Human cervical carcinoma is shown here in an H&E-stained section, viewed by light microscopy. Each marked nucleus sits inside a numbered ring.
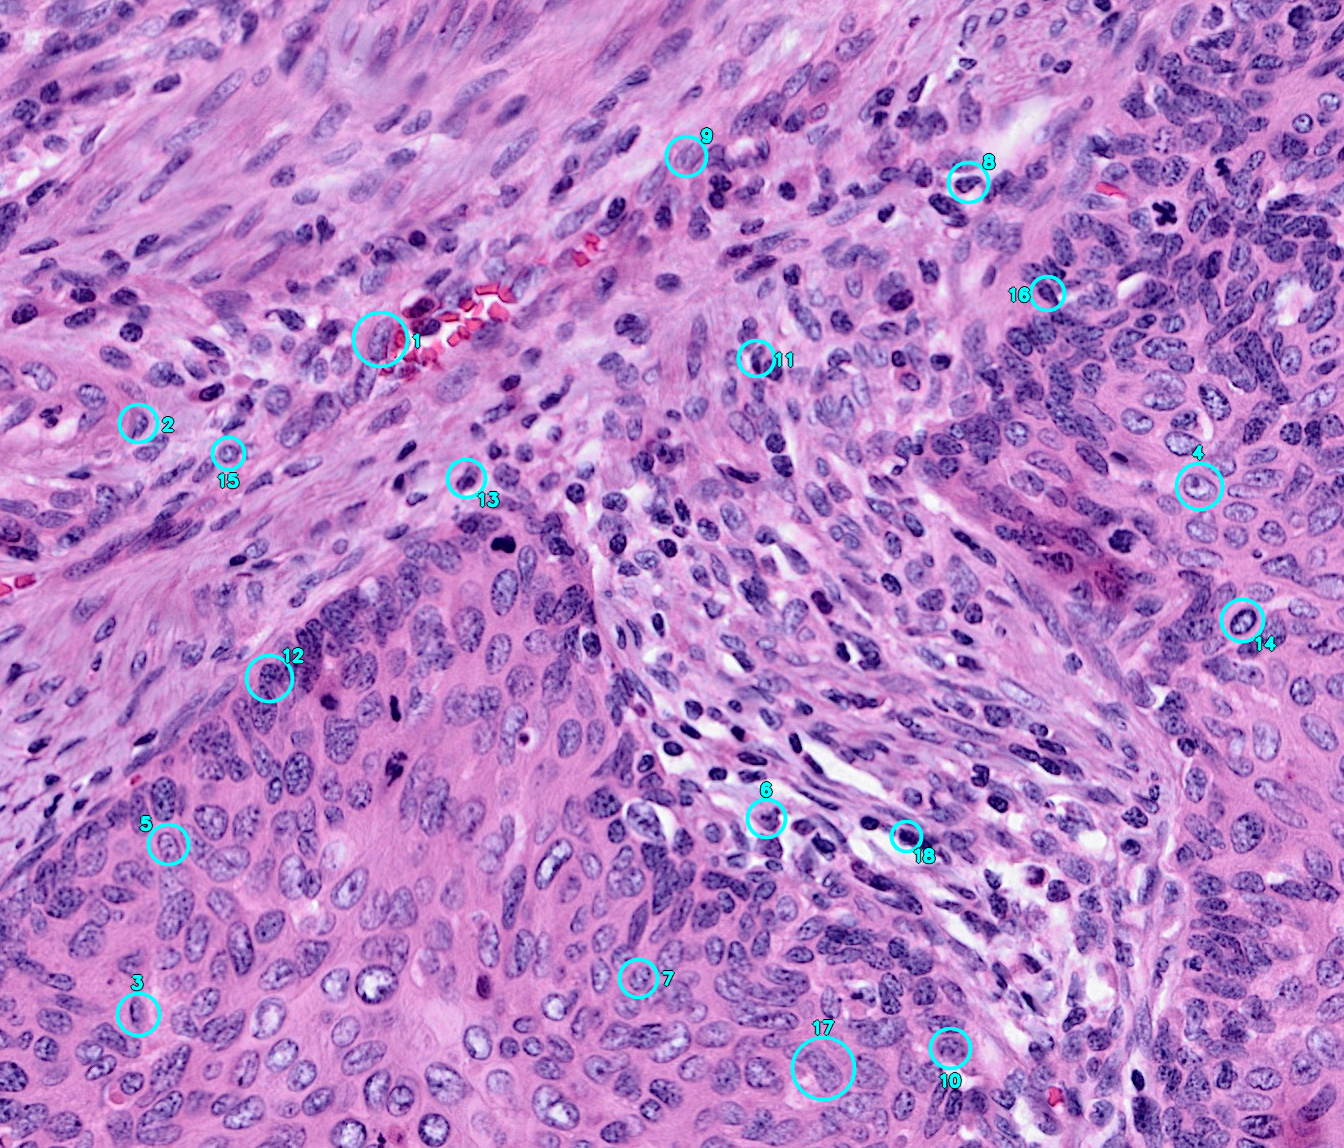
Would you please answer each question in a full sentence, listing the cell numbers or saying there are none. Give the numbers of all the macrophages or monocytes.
Just one of the numbered cells is a macrophage or monocyte, namely number 6.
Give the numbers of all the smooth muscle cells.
The cells to which the numbers 2 and 15 refer are smooth muscle cells.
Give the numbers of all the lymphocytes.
The numbers 8, 11, 13 and 18 mark cells that are lymphocytes.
